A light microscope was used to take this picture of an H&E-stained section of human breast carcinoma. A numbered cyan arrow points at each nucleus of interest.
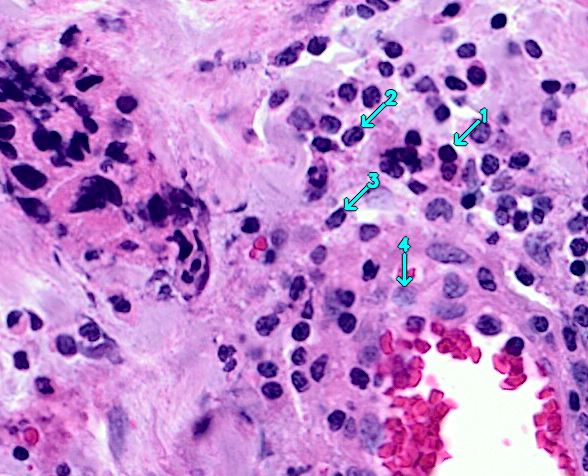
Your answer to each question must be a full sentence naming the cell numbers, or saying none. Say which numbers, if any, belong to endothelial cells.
Just one numbered cell is an endothelial cell, and that cell is number 4.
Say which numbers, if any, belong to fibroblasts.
Across all the numbered cells, no fibroblasts are present.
